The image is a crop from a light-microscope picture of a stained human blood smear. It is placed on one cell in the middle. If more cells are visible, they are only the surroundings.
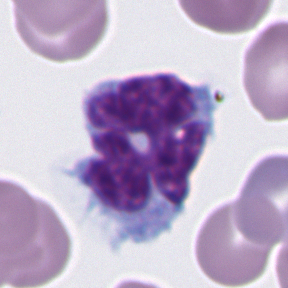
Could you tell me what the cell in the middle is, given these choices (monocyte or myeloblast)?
monocyte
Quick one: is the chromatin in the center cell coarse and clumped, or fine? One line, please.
One feature to record is coarsely clumped chromatin.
